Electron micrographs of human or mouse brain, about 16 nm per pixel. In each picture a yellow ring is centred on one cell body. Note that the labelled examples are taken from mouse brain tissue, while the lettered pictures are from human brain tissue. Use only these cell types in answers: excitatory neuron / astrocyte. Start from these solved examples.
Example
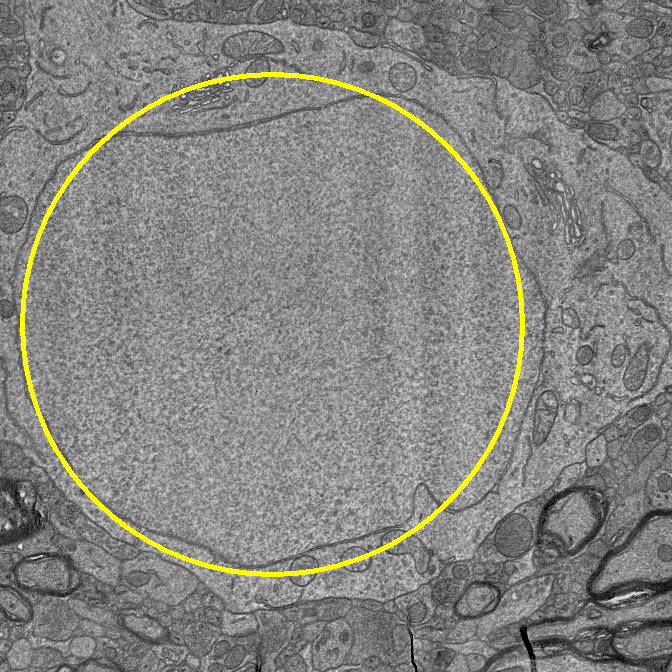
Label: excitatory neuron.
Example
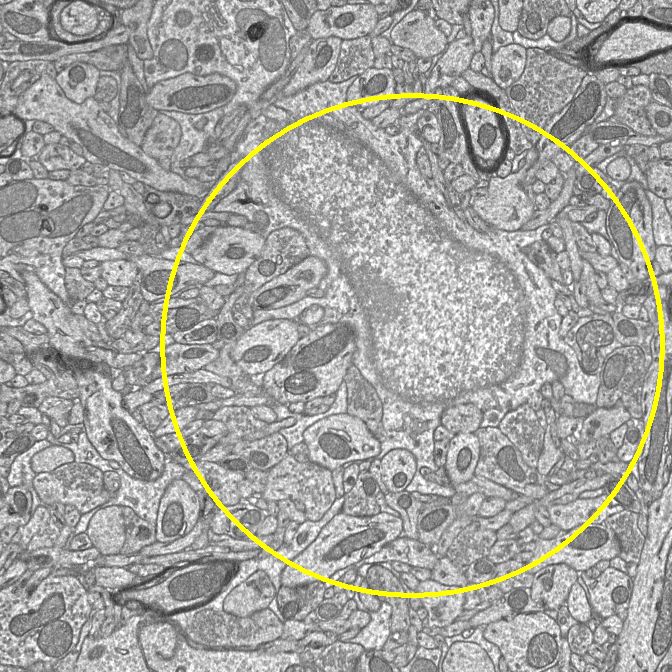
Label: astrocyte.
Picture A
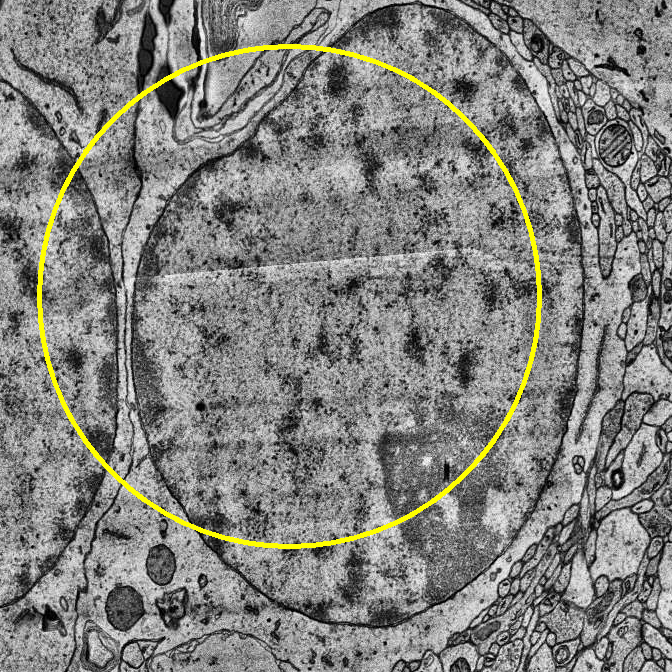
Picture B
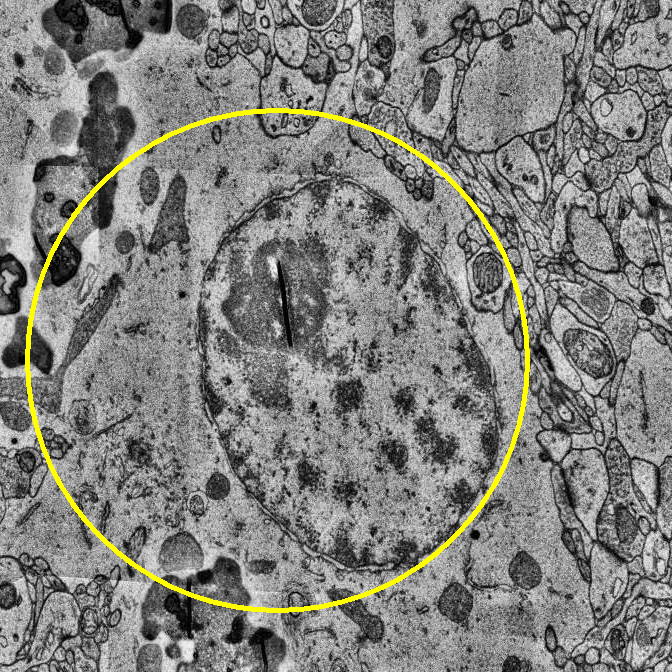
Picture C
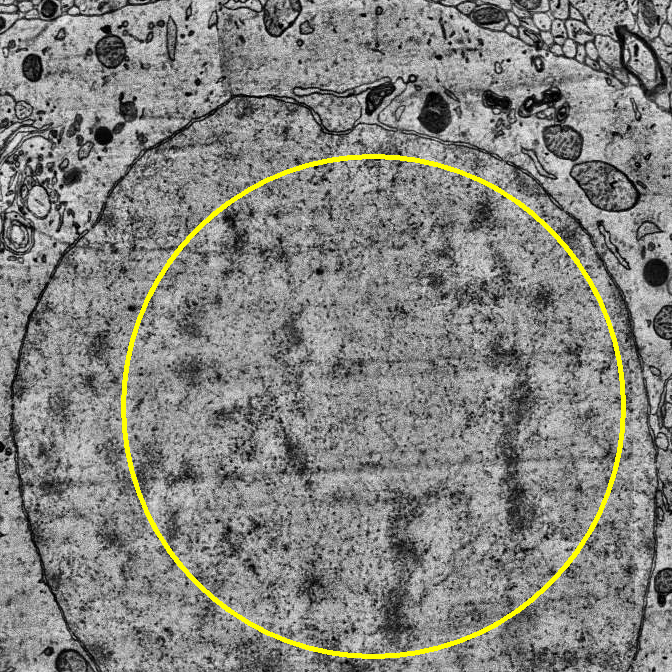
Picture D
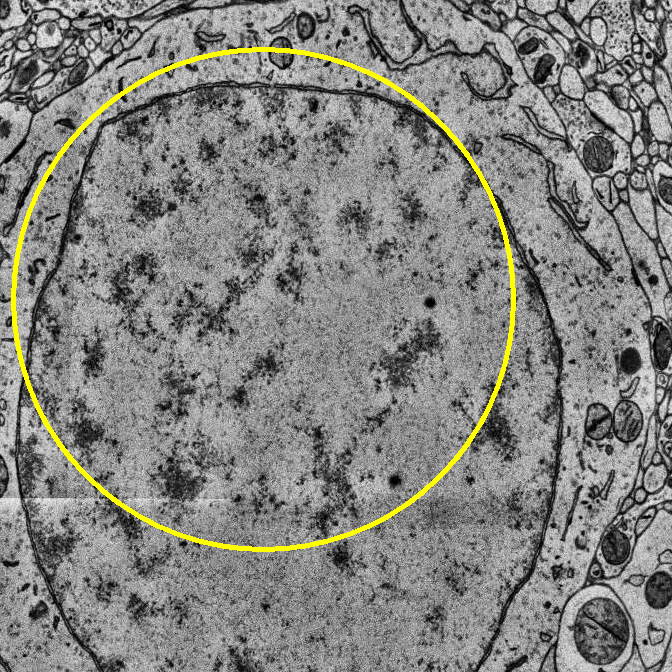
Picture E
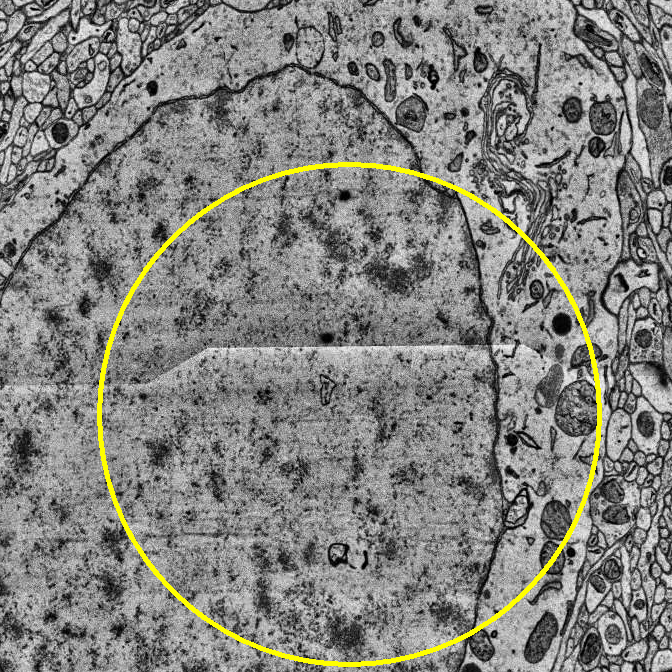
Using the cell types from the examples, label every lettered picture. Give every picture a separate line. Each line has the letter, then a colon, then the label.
A: astrocyte.
B: astrocyte.
C: excitatory neuron.
D: excitatory neuron.
E: excitatory neuron.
